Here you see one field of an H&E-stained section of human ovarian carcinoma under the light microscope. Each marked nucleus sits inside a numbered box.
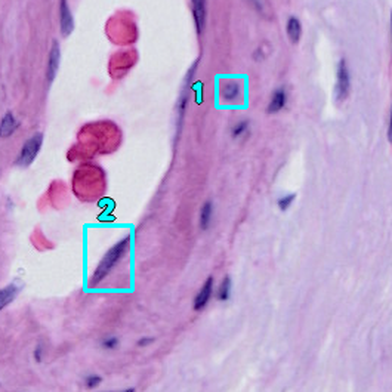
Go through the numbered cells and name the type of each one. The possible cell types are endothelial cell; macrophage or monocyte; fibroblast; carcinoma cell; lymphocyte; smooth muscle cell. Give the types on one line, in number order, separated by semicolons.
smooth muscle cell; endothelial cell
